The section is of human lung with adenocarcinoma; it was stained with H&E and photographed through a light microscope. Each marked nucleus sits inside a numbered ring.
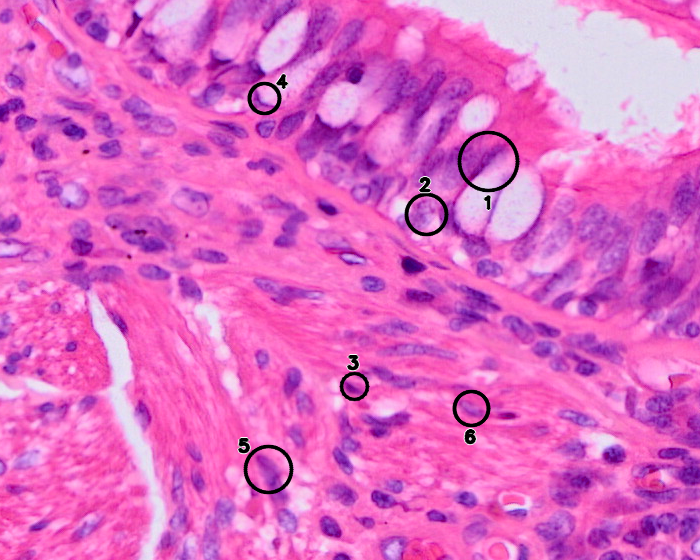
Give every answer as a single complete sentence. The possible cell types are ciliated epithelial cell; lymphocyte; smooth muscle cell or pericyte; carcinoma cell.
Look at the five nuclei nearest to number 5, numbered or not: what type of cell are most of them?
Most of the five nuclei nearest to number 5 are those of smooth muscle cells or pericytes.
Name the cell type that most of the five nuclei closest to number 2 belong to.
Ciliated epithelial cells make up most of the five nuclei closest to number 2.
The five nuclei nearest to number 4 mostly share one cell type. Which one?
The majority of the five nuclei closest to number 4 belong to ciliated epithelial cells.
